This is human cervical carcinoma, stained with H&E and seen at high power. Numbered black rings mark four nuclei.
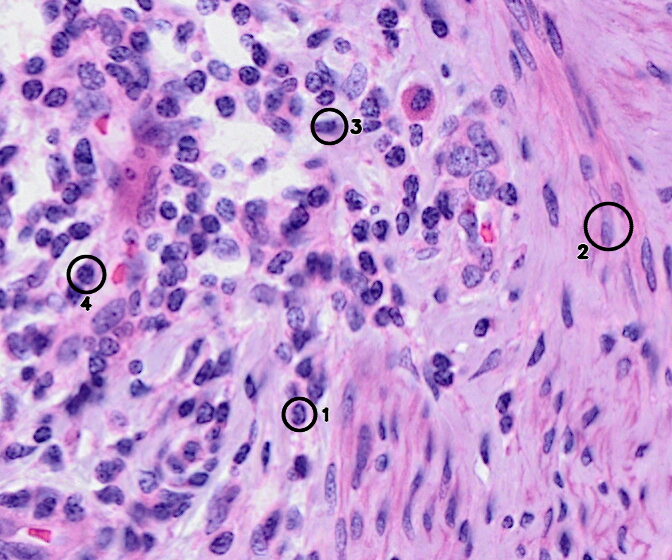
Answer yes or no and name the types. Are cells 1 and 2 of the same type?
No, cell 2 is a smooth muscle cell, and cell 1 is a lymphocyte.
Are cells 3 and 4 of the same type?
Yes, cells 3 and 4 are two lymphocytes.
